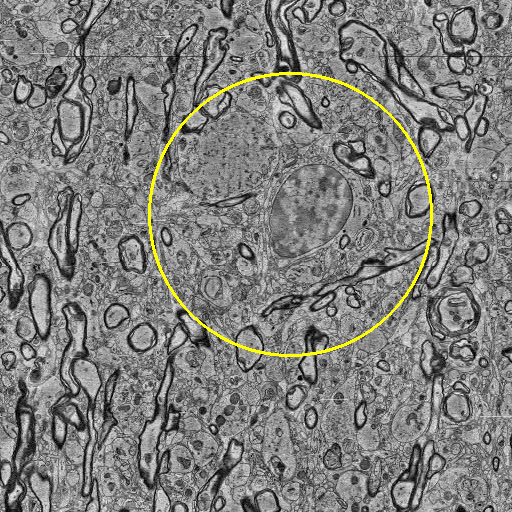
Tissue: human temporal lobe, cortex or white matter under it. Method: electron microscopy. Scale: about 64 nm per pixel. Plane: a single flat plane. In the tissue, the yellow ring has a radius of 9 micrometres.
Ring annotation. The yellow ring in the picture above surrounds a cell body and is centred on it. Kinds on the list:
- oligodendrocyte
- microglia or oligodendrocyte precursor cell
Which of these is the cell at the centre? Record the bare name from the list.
microglia or oligodendrocyte precursor cell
